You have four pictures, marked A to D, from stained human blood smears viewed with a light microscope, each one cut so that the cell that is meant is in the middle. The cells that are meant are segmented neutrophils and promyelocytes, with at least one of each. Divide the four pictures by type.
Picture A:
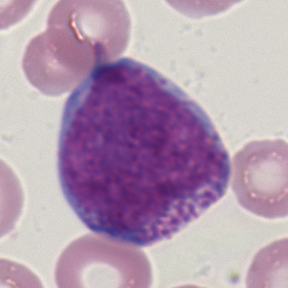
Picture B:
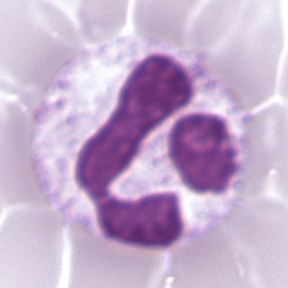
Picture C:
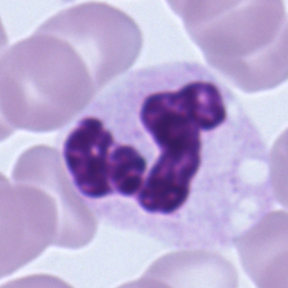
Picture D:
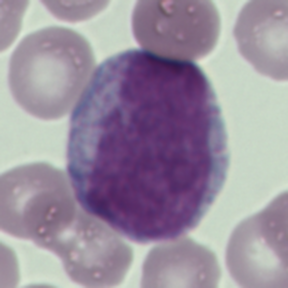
A: promyelocyte
B: segmented neutrophil
C: segmented neutrophil
D: promyelocyte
